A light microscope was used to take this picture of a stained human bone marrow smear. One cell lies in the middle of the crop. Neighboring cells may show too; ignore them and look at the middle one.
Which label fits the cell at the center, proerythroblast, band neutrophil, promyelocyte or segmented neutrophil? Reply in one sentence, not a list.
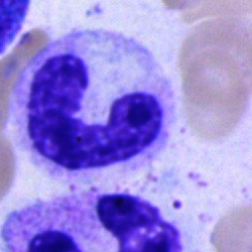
The cell found in the middle of this crop is a band neutrophil.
